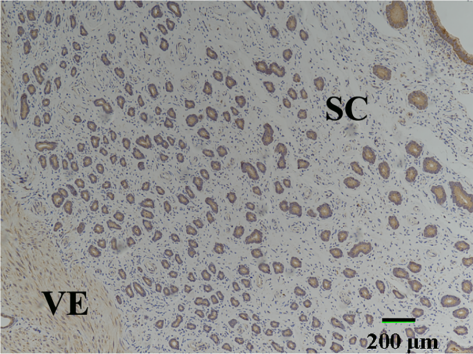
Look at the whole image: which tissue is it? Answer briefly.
Endometrium.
